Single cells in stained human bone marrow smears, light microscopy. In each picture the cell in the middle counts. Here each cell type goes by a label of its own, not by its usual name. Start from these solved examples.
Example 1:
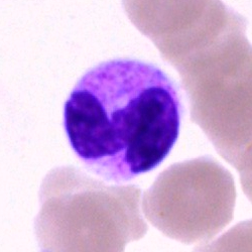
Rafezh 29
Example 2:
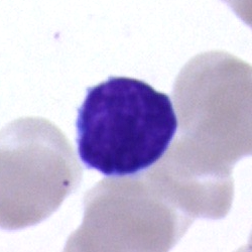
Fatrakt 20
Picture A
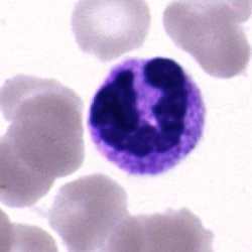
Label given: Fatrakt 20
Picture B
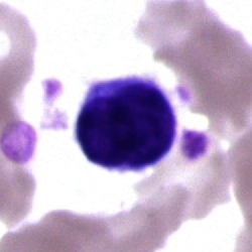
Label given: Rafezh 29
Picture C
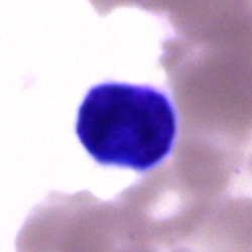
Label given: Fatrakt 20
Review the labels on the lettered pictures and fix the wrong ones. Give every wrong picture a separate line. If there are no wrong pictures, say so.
A: change Fatrakt 20 to Rafezh 29
B: change Rafezh 29 to Fatrakt 20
